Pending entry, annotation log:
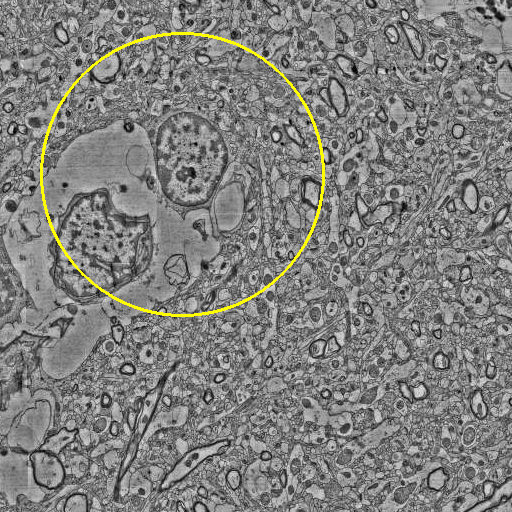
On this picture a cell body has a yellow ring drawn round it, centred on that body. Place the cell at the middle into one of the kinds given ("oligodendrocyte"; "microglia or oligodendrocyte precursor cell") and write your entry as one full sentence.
The cell body at the middle of the yellow ring belongs to an oligodendrocyte.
